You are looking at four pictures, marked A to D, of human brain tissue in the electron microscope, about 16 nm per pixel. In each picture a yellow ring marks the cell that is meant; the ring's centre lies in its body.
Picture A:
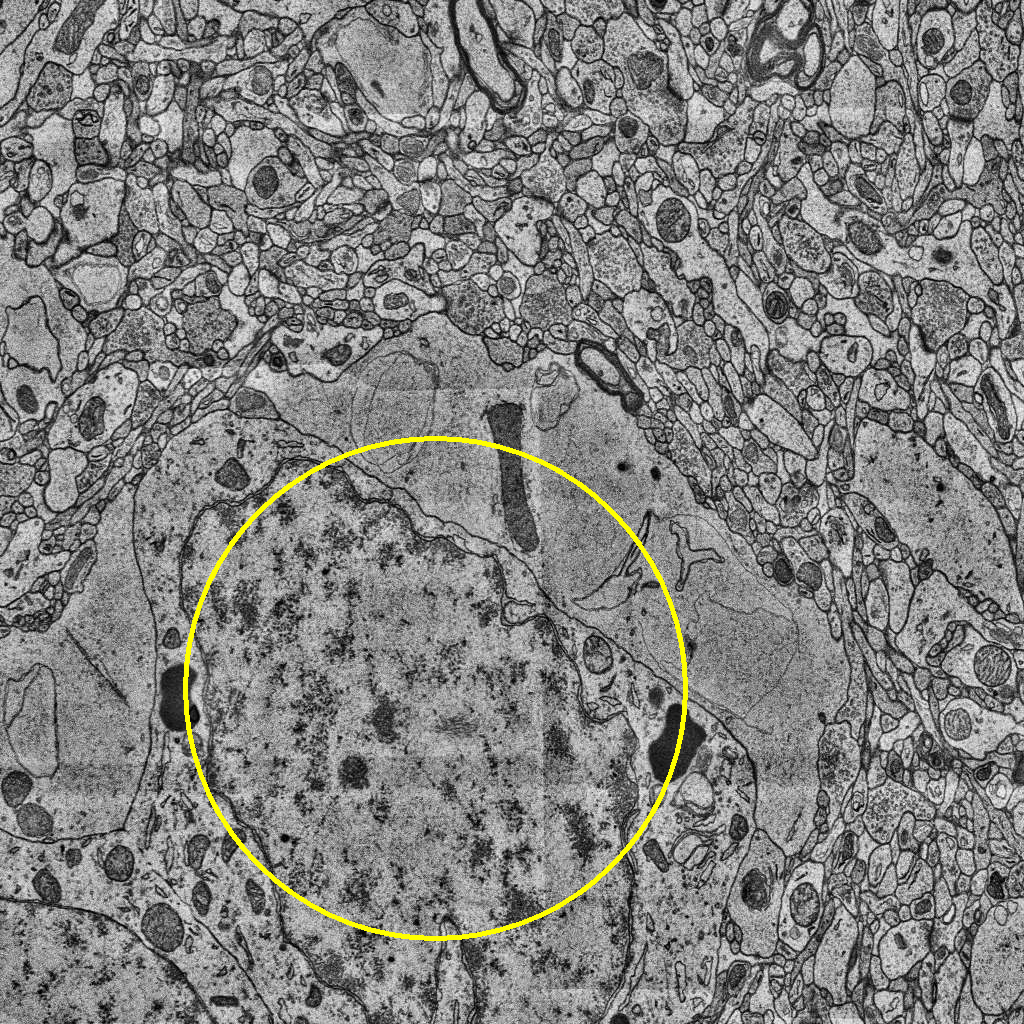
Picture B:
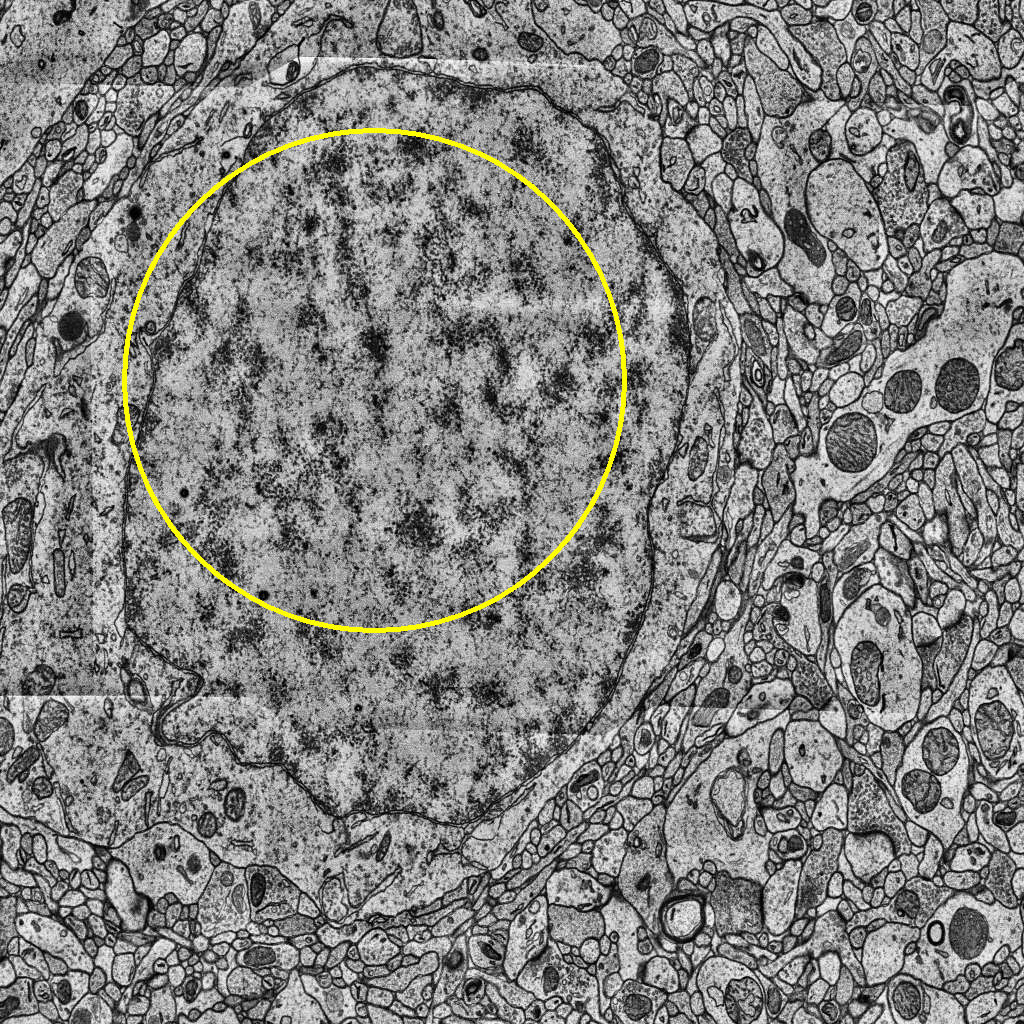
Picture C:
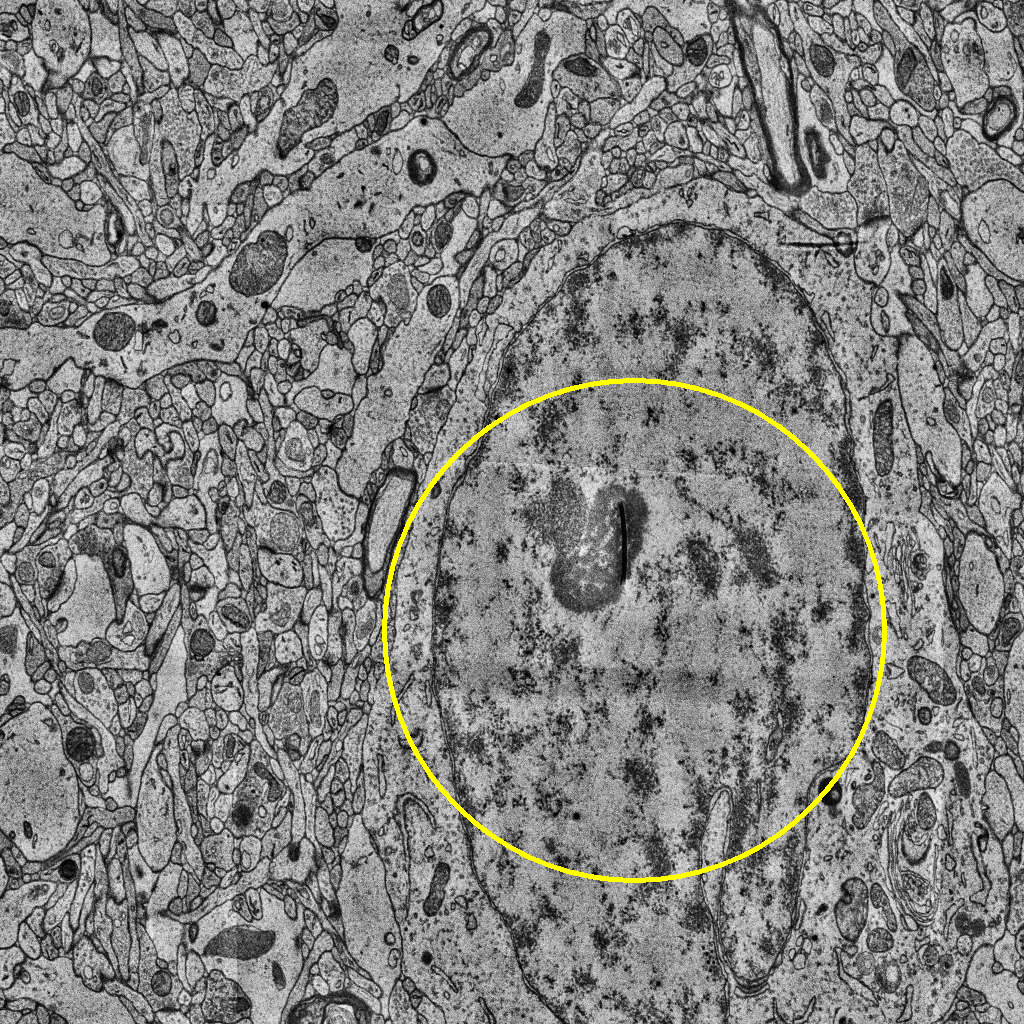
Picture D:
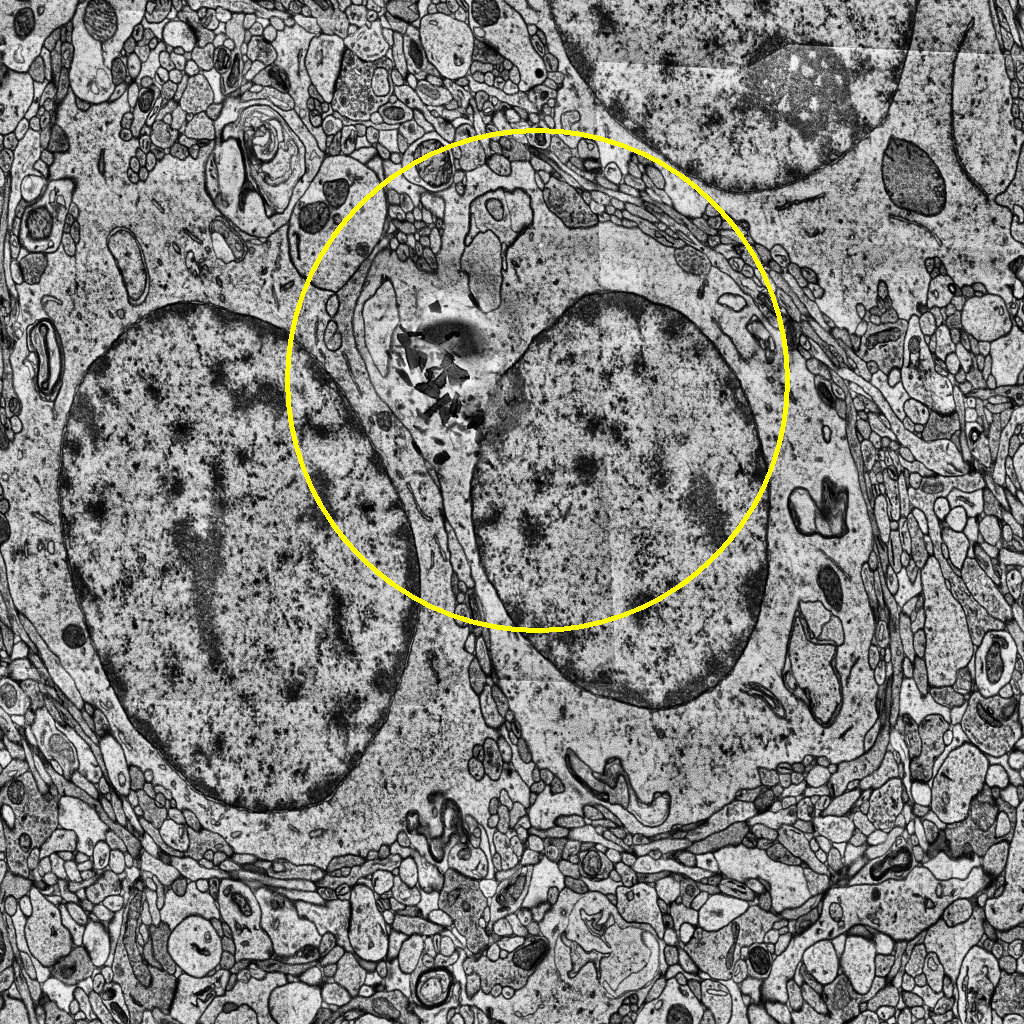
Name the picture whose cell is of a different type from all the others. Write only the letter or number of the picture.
D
